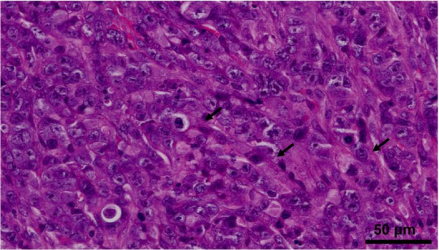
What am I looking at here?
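This is tumor tissue made of tightly packed, large, pleomorphic tumor cells in solid sheets with little stroma between them. The nuclei are large and vesicular, often with prominent nucleoli, and the cytoplasm stains pink to violet. Several cells show dark, condensed chromatin, consistent with cells in mitosis. A few cells contain clear rounded vacuoles.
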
